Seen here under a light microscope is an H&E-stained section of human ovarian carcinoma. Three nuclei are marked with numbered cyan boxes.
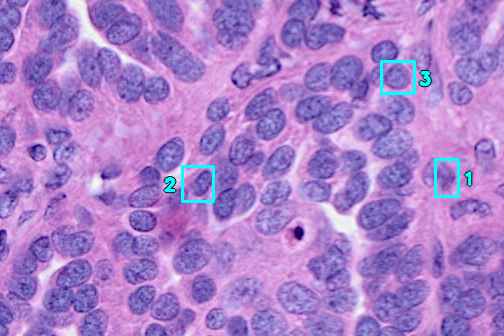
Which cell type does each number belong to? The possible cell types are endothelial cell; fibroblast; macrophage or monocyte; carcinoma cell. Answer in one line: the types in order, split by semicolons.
fibroblast; carcinoma cell; carcinoma cell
